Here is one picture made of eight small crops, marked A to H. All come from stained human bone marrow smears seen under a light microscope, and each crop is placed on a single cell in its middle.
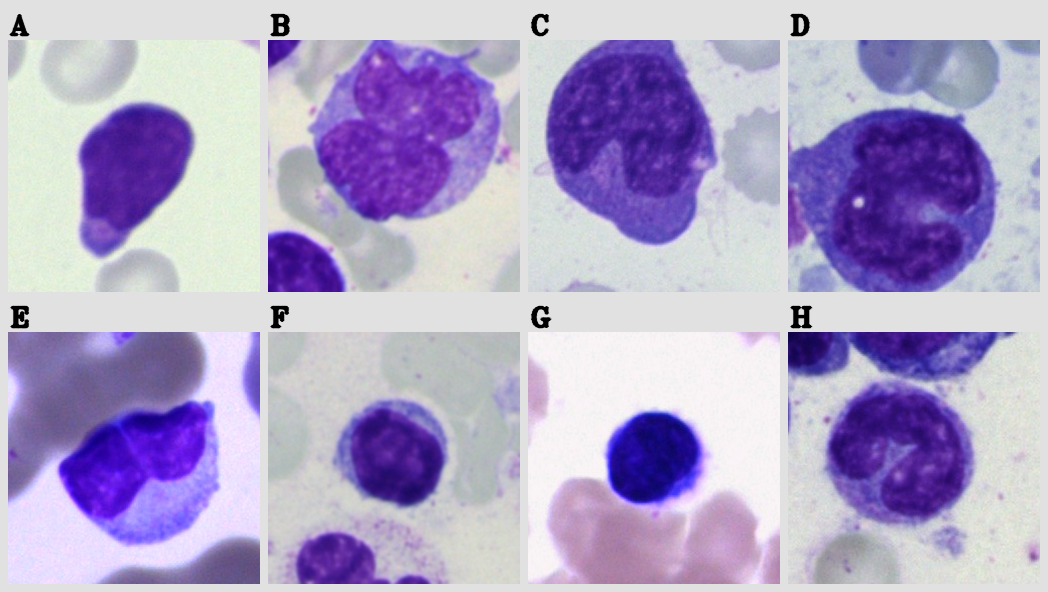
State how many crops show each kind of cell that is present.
lymphocyte: 4
monocyte: 4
